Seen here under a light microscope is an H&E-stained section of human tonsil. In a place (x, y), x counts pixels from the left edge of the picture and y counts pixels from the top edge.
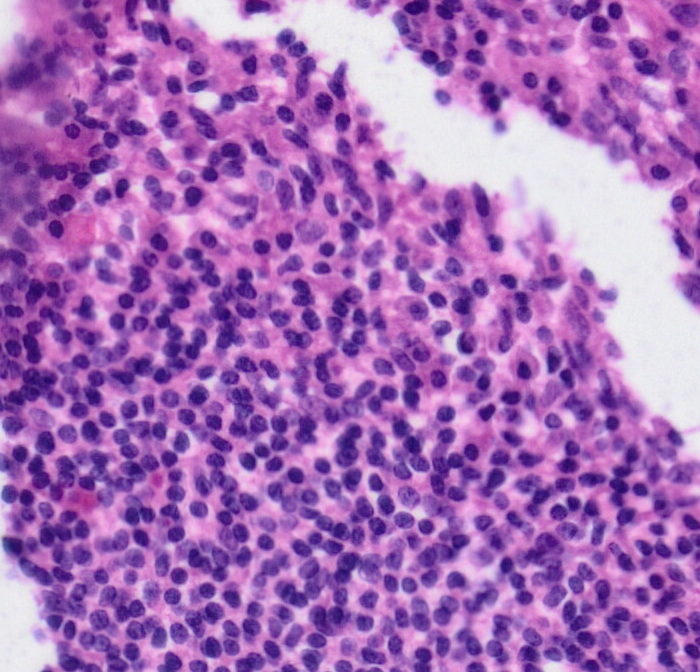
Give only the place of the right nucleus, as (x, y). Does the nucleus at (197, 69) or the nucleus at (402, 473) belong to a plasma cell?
(197, 69)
